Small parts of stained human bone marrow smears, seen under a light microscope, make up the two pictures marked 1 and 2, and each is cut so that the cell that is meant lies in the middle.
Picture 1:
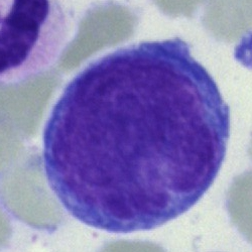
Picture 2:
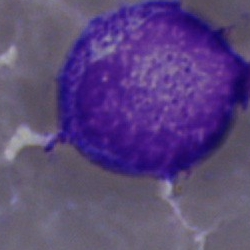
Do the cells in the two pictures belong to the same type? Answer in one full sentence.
No, they differ: the cell is a blast in picture 1 and a promyelocyte in picture 2.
